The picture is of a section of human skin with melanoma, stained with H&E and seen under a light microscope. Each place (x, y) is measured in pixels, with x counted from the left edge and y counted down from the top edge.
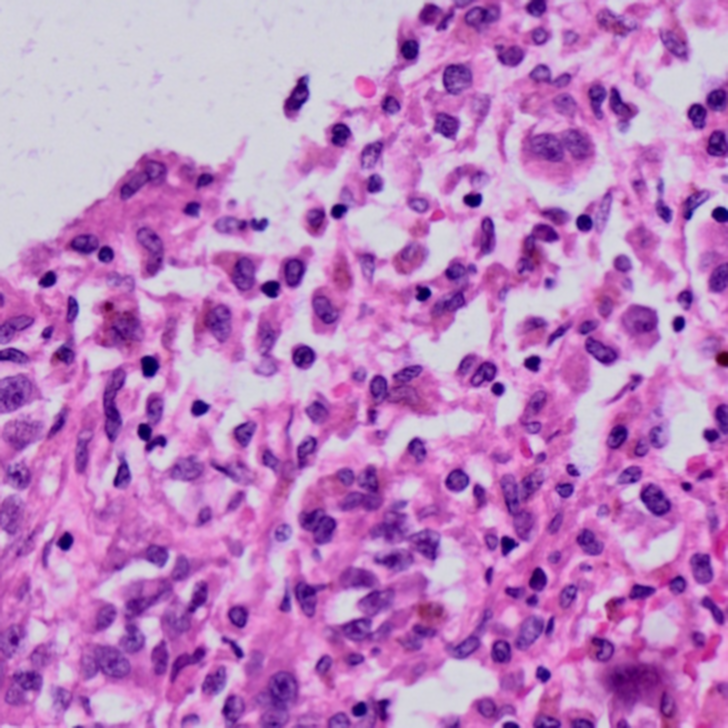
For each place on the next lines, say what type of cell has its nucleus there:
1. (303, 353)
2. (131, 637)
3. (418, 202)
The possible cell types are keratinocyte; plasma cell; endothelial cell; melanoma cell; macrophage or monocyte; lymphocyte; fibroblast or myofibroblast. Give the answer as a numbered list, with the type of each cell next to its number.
1. macrophage or monocyte
2. melanoma cell
3. macrophage or monocyte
